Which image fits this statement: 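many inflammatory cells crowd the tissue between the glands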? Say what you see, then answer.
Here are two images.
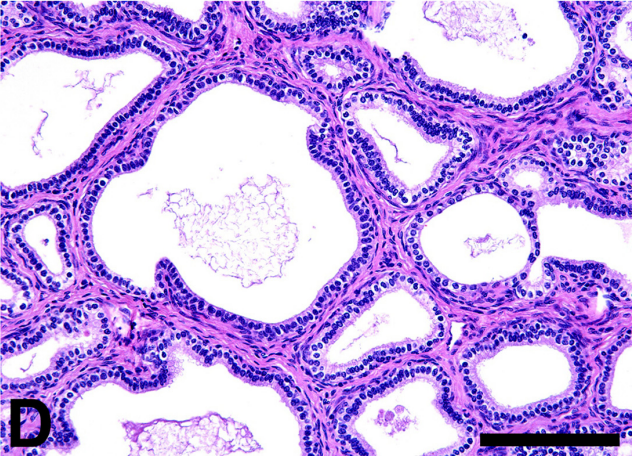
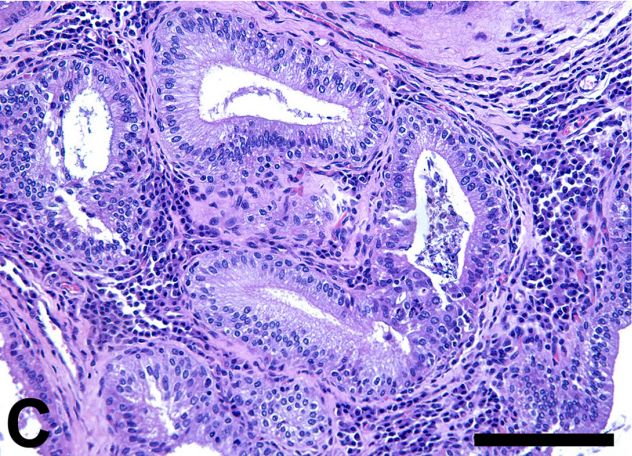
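First image: thin pink connective tissue septa between glands with few scattered nuclei. Second image: dense sheets of small dark nuclei fill the tissue around the tubules.
The second image.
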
